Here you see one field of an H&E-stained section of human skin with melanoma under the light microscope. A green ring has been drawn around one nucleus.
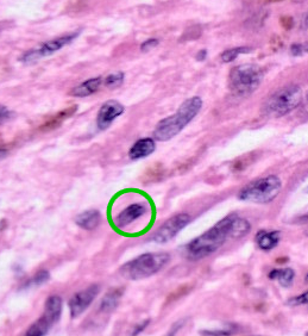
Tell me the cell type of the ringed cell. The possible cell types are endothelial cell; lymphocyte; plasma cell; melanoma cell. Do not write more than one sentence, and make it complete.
Placed in its cell category, the ringed cell is a lymphocyte.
